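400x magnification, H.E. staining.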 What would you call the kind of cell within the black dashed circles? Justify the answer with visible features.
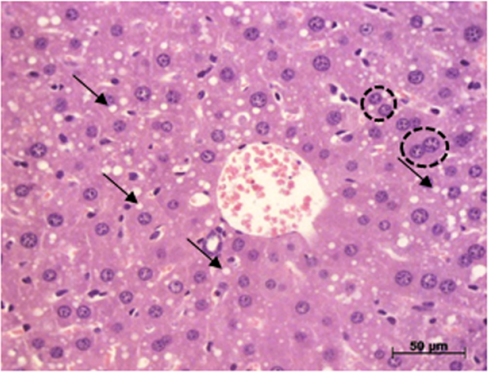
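Binucleated cells. Each circled cell shows two nuclei close together.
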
